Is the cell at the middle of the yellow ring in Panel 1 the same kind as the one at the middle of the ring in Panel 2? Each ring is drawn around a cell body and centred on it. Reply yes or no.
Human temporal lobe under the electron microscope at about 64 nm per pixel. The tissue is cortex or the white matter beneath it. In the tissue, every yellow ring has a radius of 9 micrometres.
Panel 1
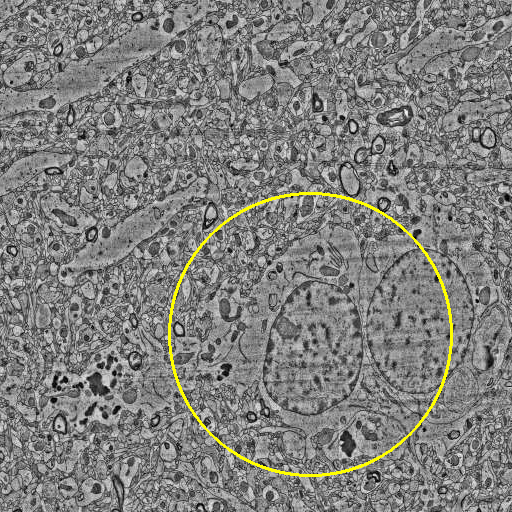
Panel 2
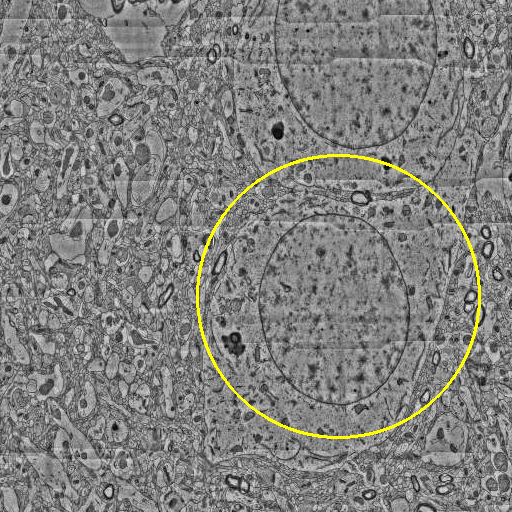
no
